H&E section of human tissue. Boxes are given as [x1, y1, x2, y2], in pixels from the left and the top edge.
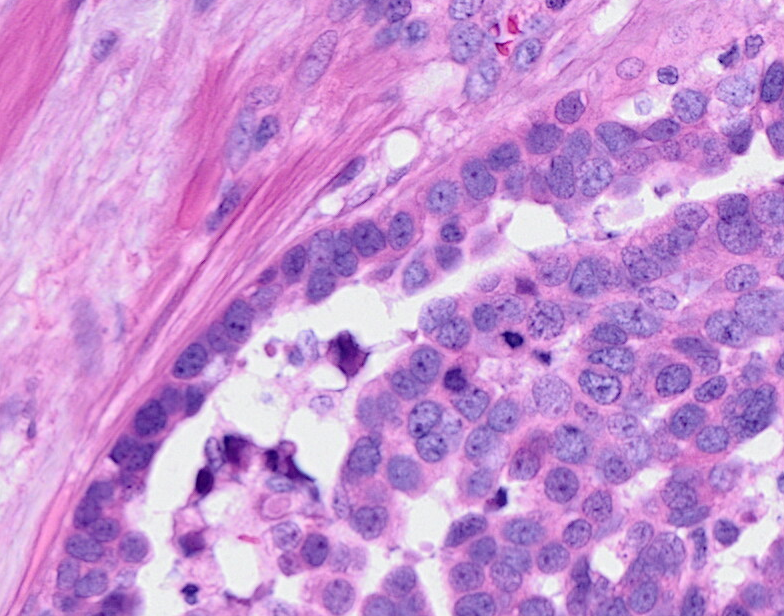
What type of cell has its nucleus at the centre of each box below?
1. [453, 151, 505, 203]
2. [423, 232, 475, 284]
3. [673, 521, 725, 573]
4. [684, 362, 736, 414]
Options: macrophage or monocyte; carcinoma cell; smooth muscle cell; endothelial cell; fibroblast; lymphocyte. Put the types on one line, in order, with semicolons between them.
carcinoma cell; carcinoma cell; macrophage or monocyte; carcinoma cell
